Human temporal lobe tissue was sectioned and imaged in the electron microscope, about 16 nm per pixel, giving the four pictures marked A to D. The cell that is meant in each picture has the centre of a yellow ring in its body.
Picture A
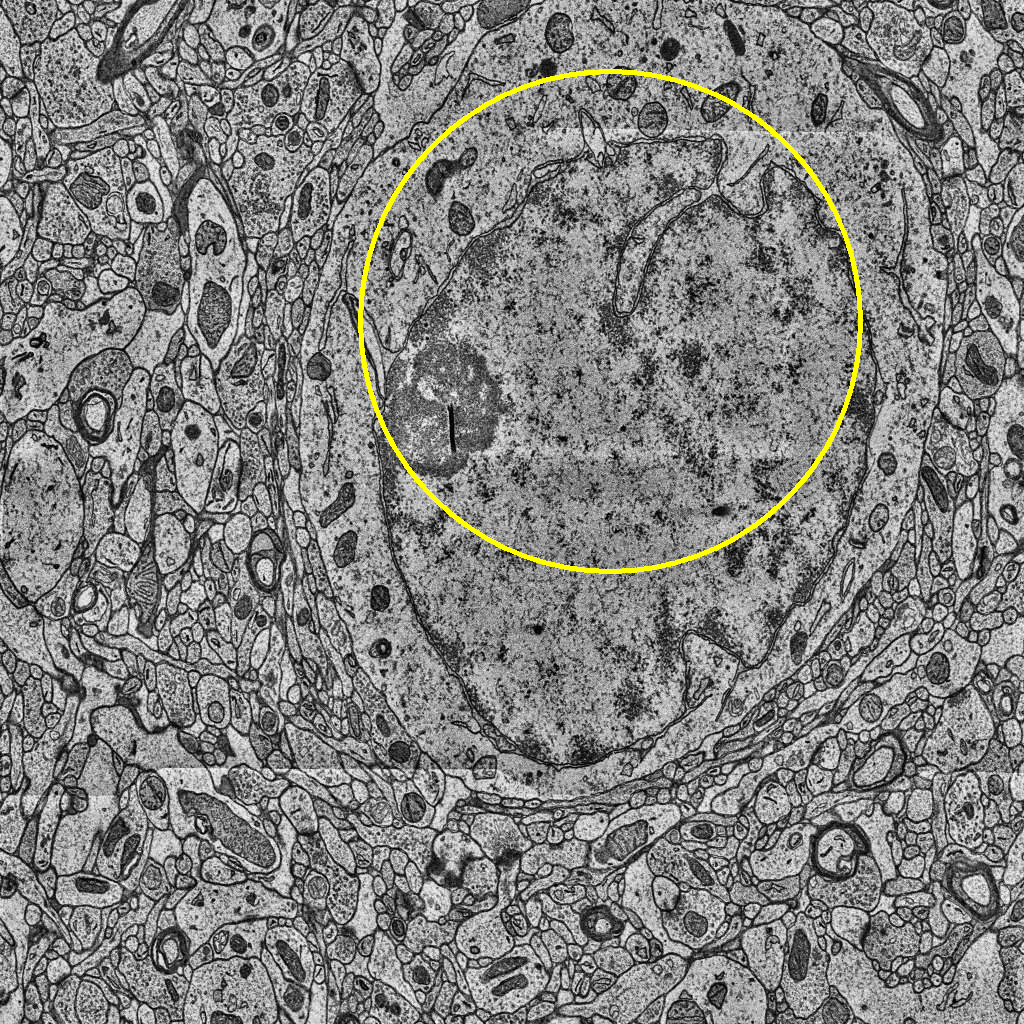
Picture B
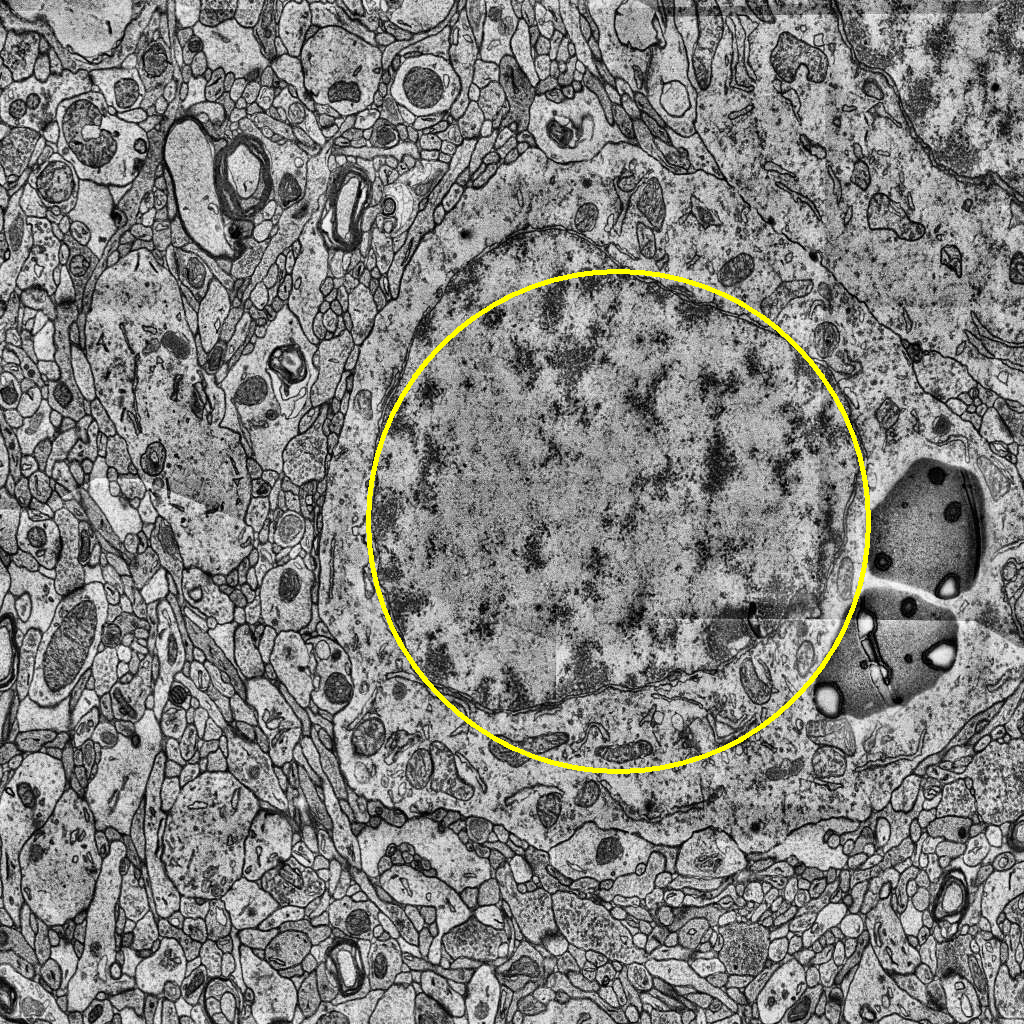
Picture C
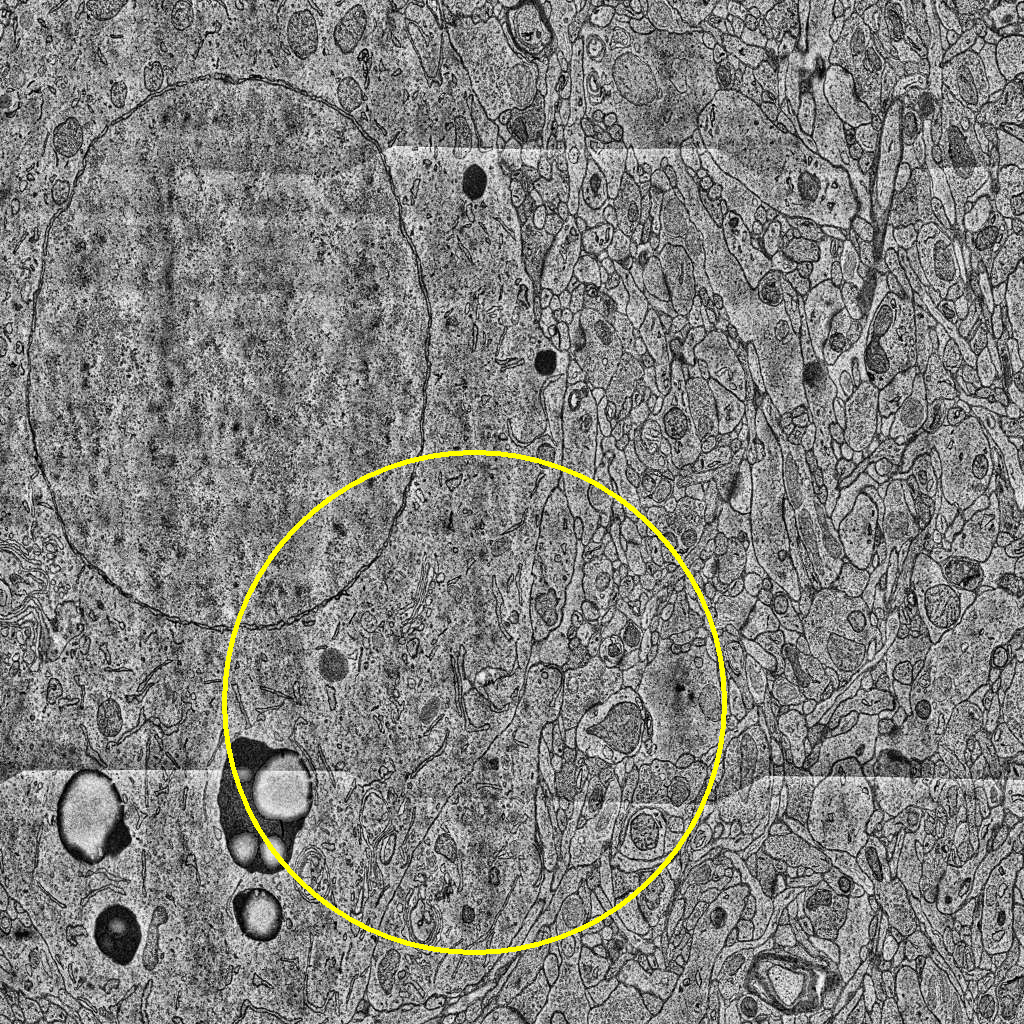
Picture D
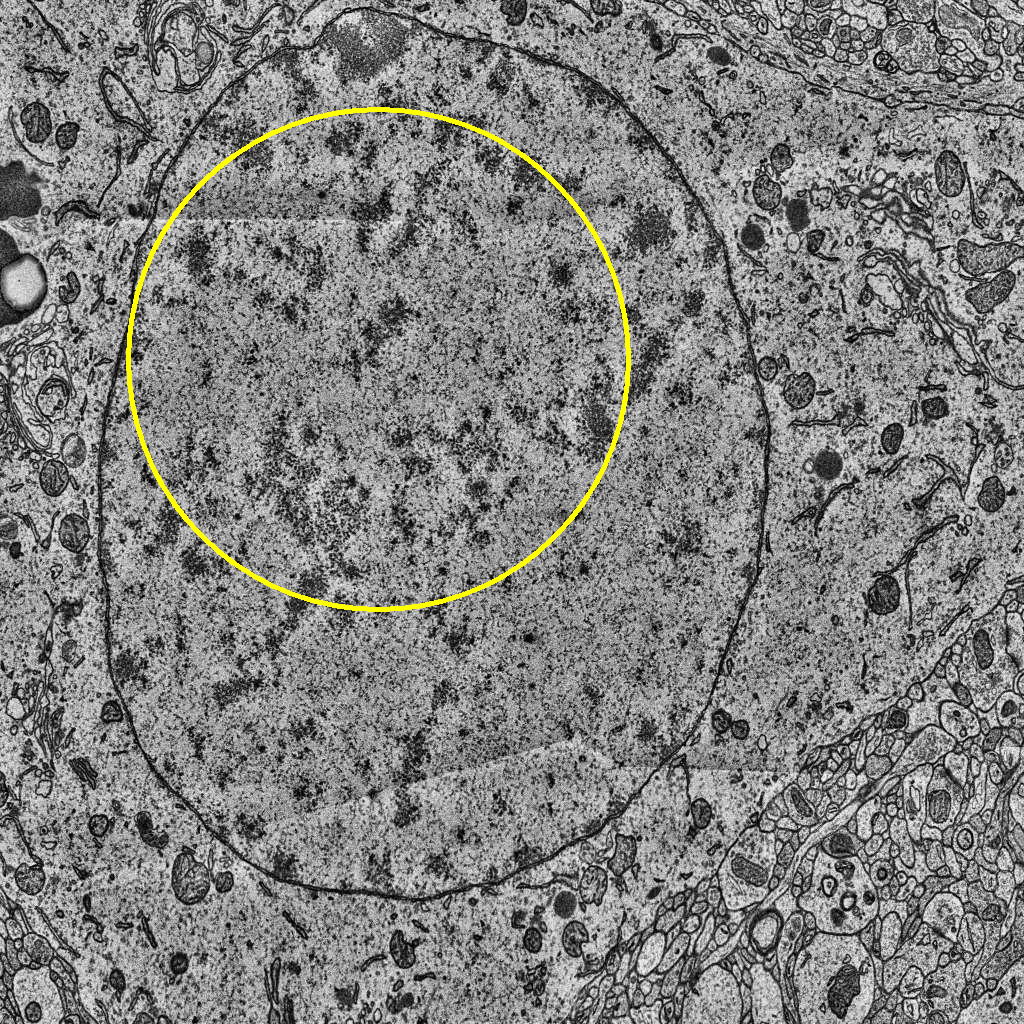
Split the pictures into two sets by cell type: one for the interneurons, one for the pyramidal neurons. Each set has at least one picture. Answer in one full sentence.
Pictures A and B show interneurons, and pictures C and D show pyramidal neurons.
